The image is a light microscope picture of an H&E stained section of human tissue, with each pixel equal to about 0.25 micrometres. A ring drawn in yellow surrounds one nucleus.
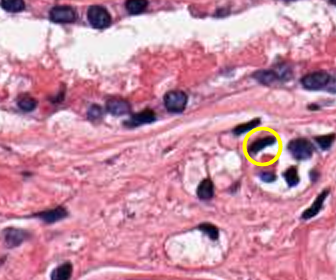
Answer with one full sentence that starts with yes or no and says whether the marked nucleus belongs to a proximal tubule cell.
No, not to a proximal tubule cell does the marked nucleus belong, but to a supporting cell.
